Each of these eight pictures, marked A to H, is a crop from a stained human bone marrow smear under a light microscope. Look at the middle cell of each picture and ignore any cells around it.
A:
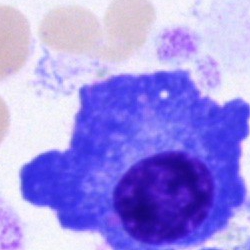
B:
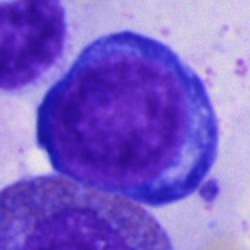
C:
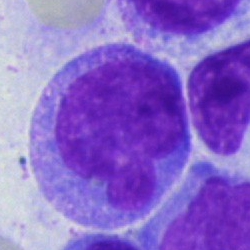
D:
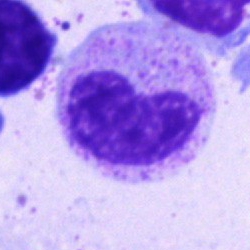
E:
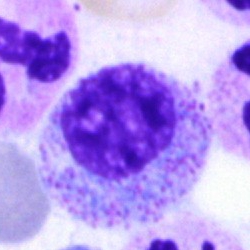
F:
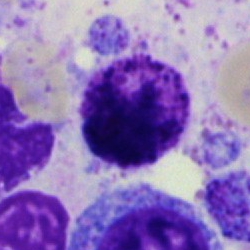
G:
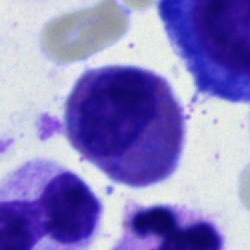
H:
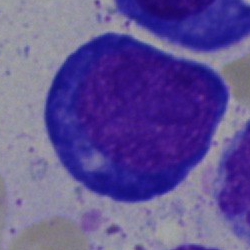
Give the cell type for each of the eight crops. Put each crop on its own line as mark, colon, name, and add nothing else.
A: plasma cell
B: proerythroblast
C: monocyte
D: metamyelocyte
E: myelocyte
F: basophil
G: eosinophil
H: proerythroblast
